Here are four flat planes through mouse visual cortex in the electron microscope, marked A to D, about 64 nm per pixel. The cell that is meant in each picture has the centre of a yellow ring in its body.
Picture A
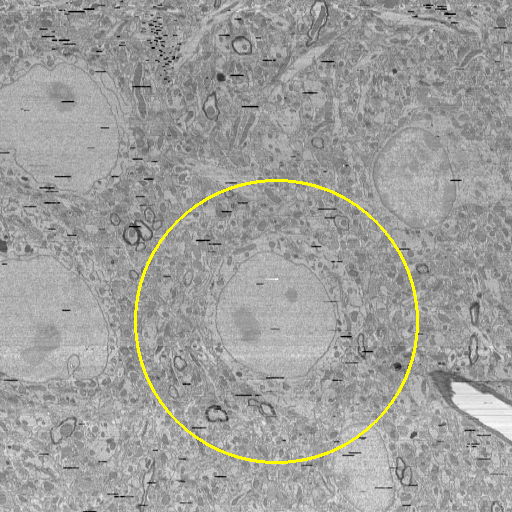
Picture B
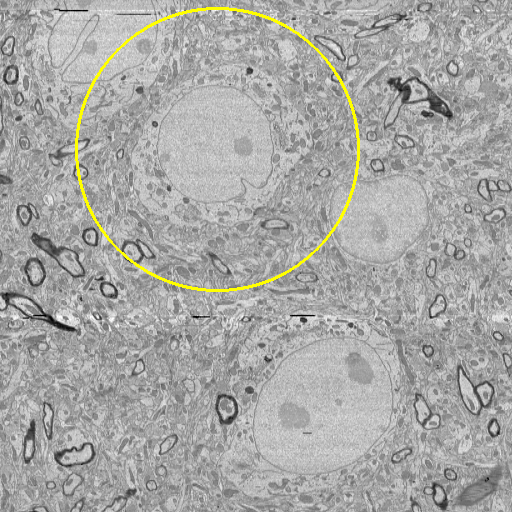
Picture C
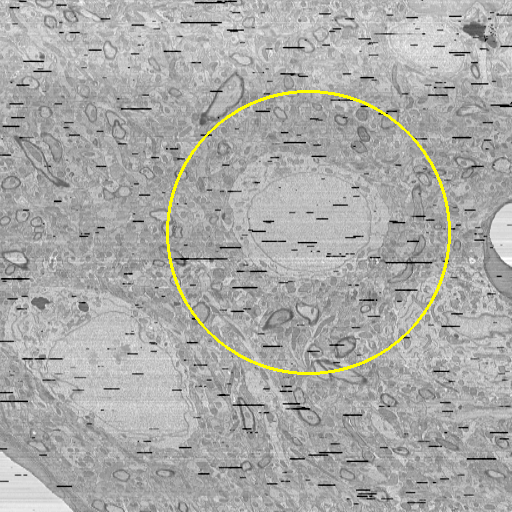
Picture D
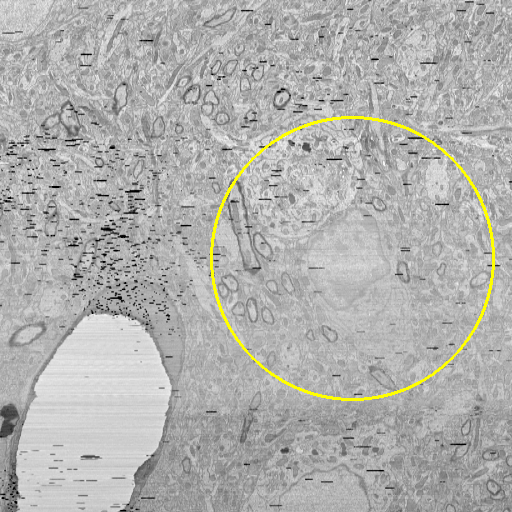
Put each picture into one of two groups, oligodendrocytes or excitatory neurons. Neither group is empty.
Picture D shows an oligodendrocyte, and pictures A, B and C show excitatory neurons.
